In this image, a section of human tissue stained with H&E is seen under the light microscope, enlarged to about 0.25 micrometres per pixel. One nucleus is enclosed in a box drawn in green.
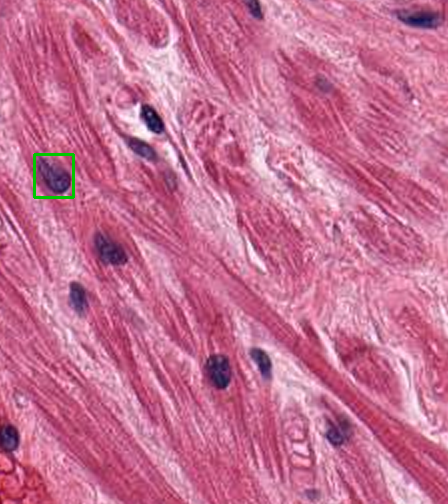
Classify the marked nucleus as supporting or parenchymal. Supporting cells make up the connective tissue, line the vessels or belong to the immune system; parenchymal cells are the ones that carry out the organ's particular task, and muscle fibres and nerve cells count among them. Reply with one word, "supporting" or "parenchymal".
parenchymal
